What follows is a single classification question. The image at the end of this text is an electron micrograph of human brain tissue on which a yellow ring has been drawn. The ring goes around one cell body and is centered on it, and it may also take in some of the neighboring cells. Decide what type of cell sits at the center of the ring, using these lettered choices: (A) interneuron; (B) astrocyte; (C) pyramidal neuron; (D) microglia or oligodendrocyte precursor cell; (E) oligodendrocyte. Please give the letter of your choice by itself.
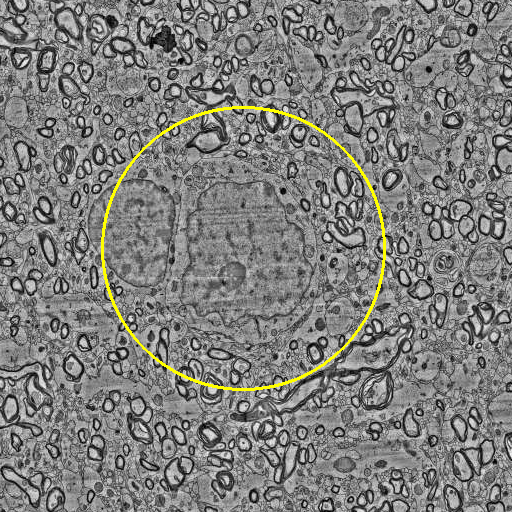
A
